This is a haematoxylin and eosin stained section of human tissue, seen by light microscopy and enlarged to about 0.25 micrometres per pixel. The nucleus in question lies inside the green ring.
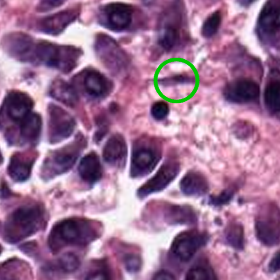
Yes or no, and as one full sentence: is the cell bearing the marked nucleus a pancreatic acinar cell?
No, the nucleus that is marked belongs to a supporting cell rather than to a pancreatic acinar cell.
